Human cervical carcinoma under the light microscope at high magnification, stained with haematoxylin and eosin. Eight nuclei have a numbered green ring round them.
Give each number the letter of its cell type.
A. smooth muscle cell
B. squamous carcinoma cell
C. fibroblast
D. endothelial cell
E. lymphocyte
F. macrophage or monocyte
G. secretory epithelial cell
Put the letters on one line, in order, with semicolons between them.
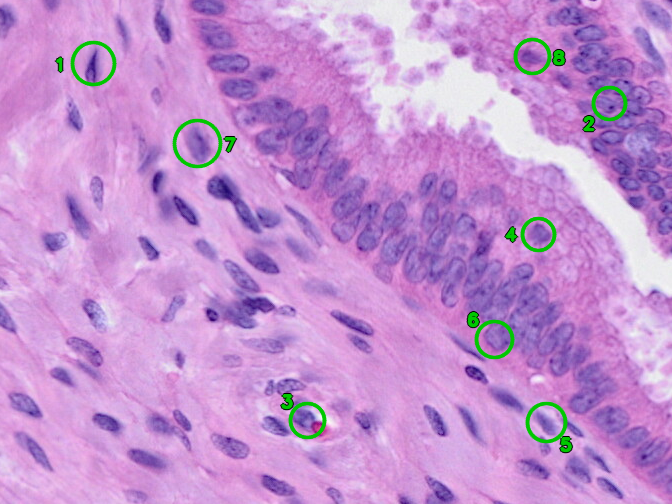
C; G; D; G; C; G; C; G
